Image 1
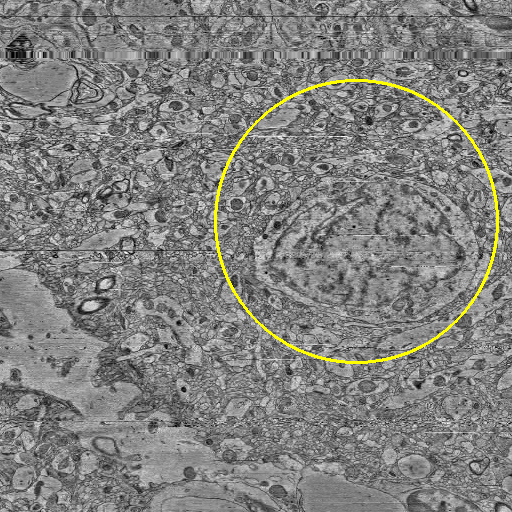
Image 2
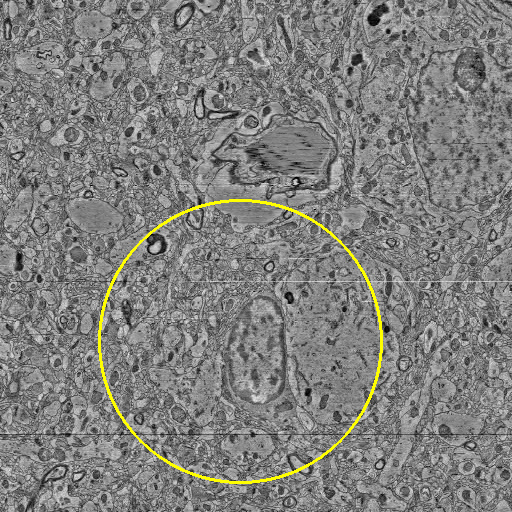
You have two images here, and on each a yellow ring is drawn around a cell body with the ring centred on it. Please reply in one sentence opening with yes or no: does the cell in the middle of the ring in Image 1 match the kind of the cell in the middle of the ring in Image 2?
No, the two images show cells of two kinds at the centres of their rings.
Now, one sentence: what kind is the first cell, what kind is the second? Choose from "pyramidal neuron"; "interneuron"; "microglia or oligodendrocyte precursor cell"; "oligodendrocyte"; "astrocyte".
The first picture has an interneuron at its ring centre, and the second has an oligodendrocyte.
